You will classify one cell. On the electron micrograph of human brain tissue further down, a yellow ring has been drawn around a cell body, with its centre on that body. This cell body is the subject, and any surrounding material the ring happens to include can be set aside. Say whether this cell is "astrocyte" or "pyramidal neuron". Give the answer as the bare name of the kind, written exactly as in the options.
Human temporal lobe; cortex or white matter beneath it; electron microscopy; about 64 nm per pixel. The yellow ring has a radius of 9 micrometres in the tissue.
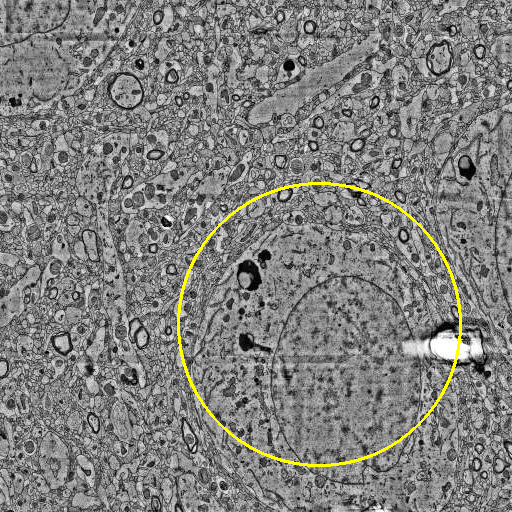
pyramidal neuron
